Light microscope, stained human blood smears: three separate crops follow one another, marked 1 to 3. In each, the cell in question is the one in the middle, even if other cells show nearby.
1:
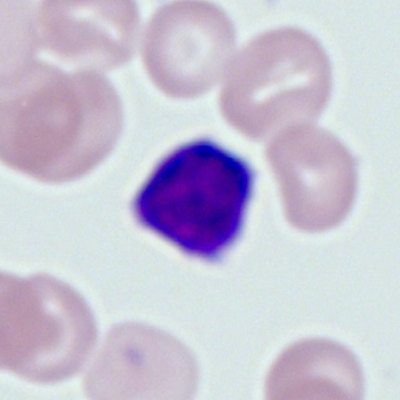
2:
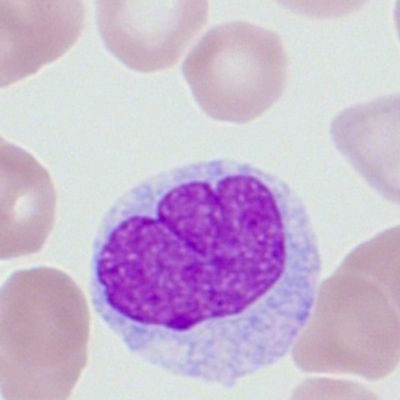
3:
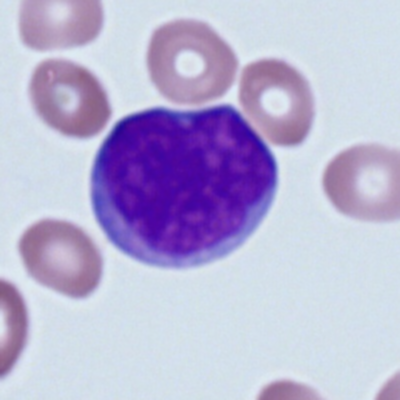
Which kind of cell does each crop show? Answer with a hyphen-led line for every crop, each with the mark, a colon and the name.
- 1: lymphocyte
- 2: monocyte
- 3: blast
